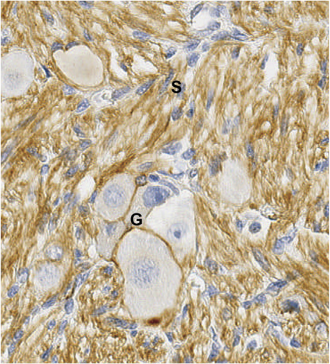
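This is a ganglioneuroma, with large ganglion cells set in a dense, wavy Schwannian stroma. The ganglion cells have abundant pale cytoplasm with round nuclei and visible nucleoli, and lie singly or in small groups. The stroma is made of fascicles of elongated spindle nuclei among fibrillary processes that carry strong brown staining, whereas the ganglion cell cytoplasm is much paler.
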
